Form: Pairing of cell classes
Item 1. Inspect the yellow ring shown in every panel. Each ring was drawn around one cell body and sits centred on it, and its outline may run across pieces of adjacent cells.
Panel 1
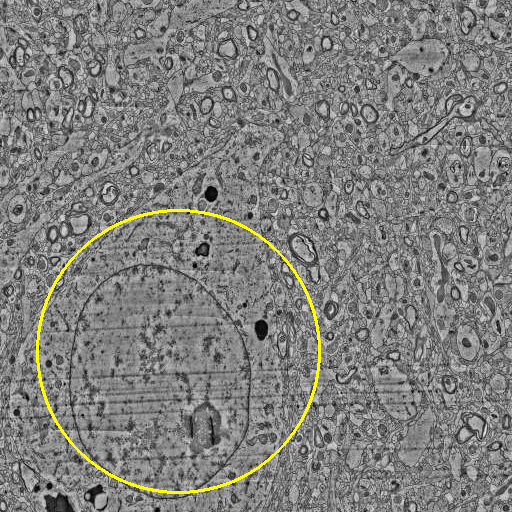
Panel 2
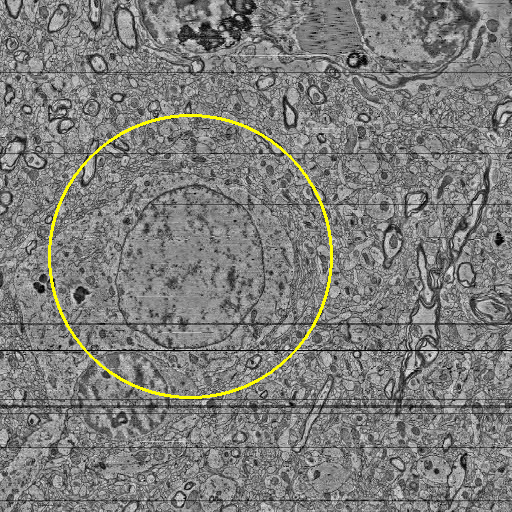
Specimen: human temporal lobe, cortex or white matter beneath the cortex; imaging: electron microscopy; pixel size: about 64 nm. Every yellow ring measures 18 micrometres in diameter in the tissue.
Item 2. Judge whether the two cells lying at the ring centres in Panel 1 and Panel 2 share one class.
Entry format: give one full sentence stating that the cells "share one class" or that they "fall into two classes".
The cells at the ring centres in Panel 1 and Panel 2 share one class.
